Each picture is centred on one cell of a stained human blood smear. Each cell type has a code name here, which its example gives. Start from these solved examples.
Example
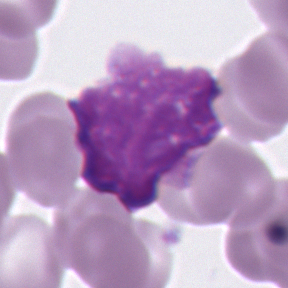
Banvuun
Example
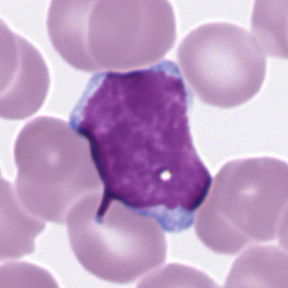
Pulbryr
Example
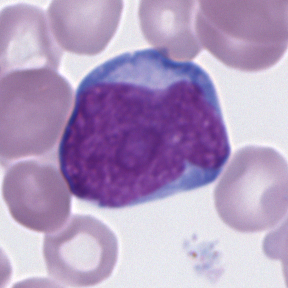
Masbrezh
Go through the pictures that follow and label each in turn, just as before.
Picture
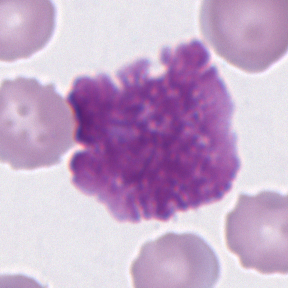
Banvuun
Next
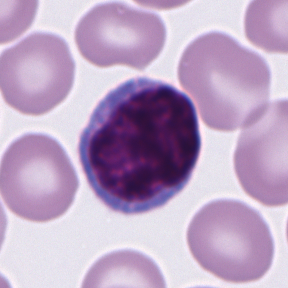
Pulbryr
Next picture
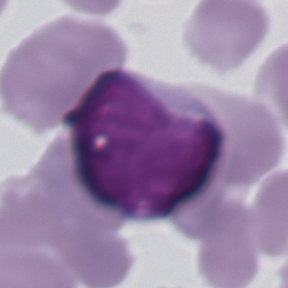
Masbrezh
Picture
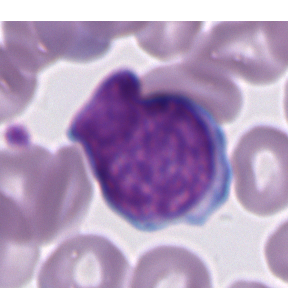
Masbrezh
